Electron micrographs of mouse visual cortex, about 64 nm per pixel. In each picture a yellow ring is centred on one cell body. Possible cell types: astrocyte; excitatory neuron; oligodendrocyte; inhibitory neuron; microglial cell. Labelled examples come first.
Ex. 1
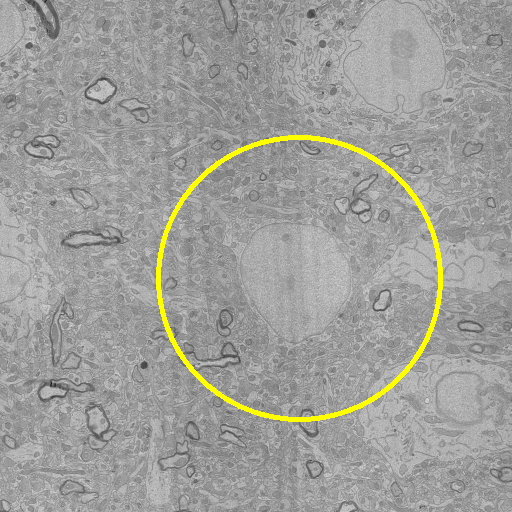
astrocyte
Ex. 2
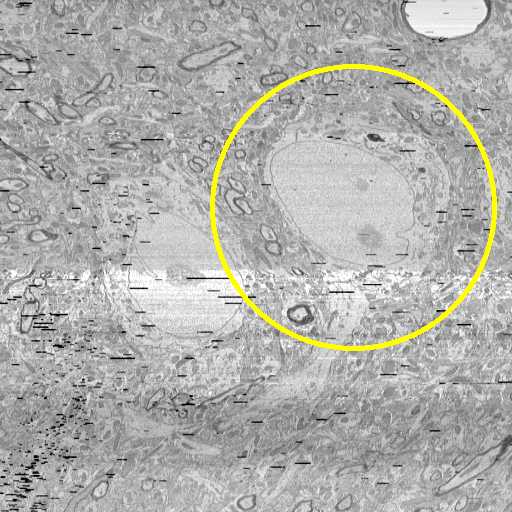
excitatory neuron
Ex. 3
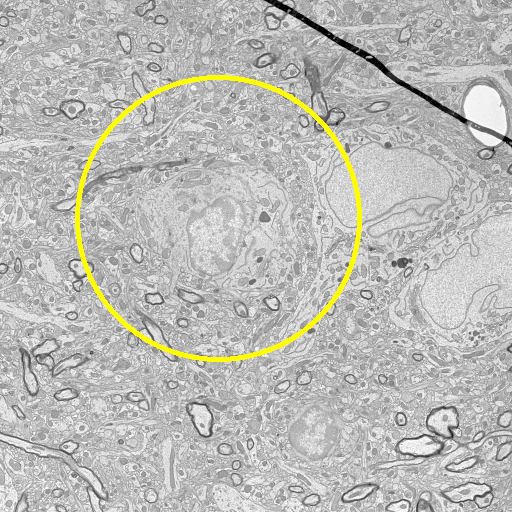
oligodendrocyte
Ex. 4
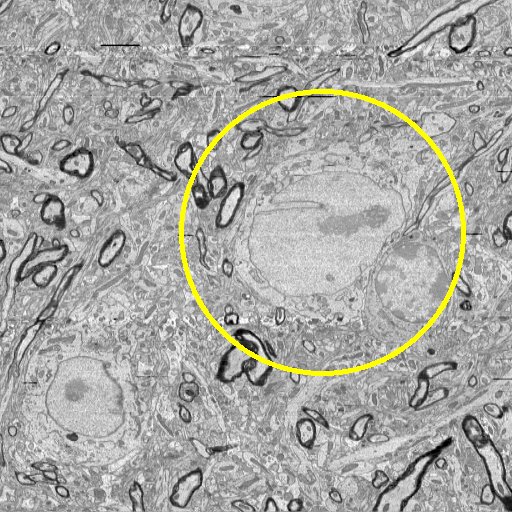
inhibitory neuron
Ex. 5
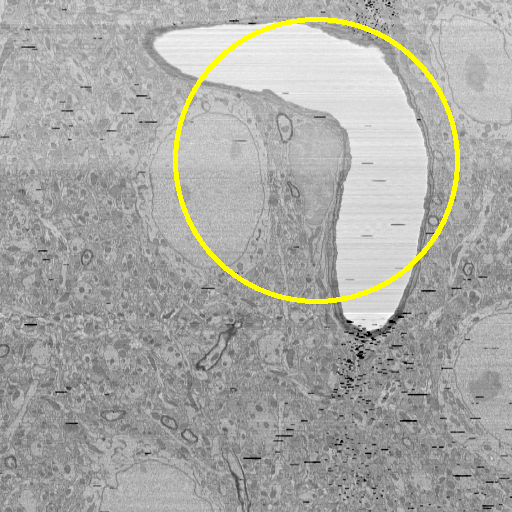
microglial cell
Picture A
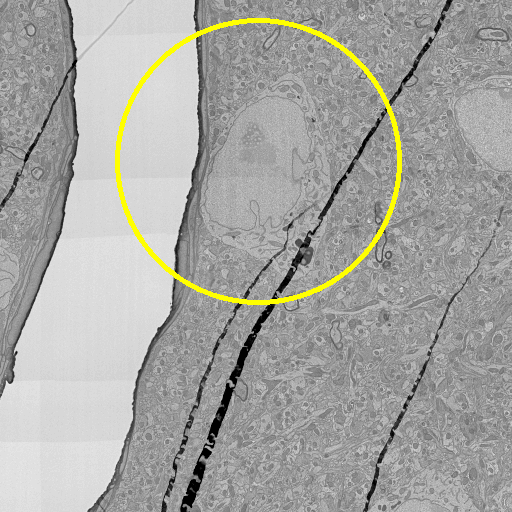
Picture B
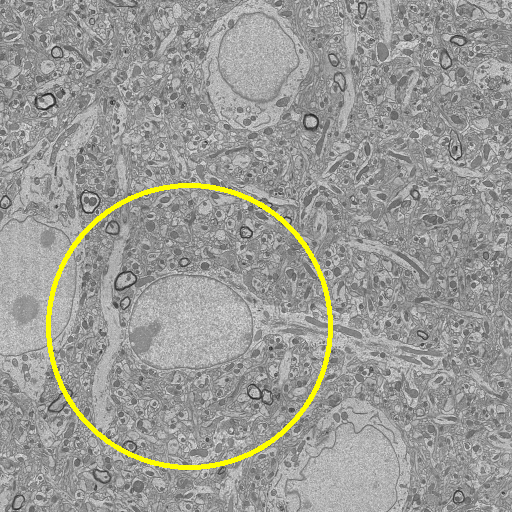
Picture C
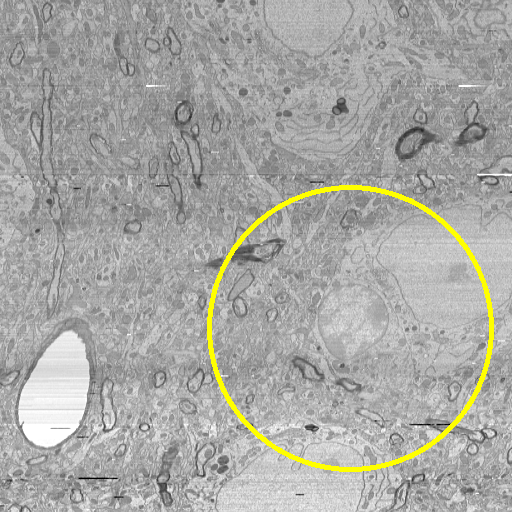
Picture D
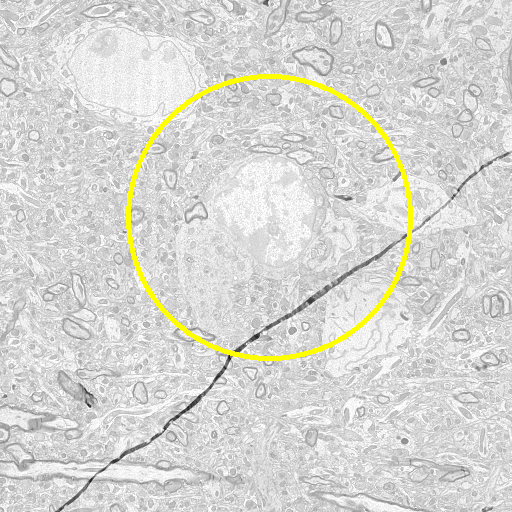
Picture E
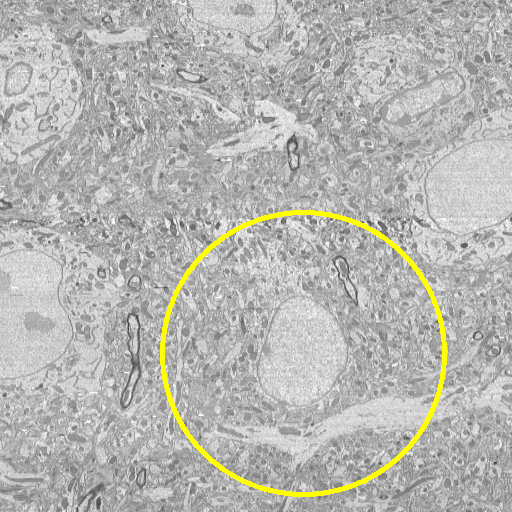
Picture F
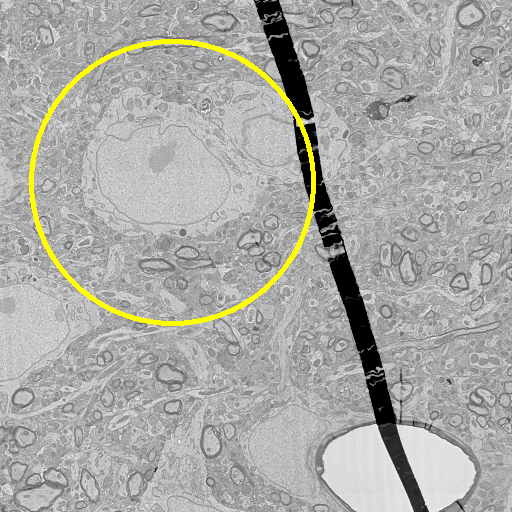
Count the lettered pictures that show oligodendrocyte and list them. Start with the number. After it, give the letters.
2: C, D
